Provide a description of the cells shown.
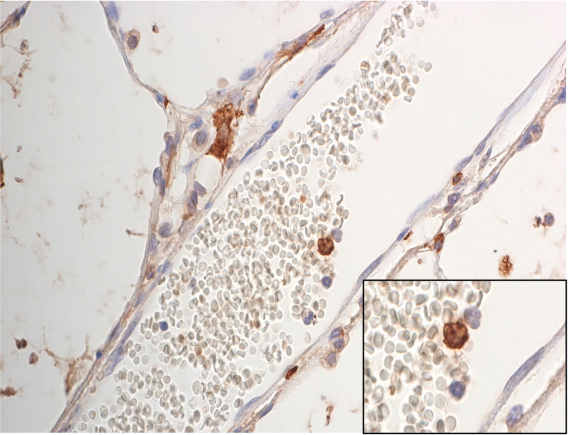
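Lung tissue with thin alveolar walls beside a large blood vessel whose lumen is densely packed with small pale red blood cells. Further brown-stained cells lie in the alveolar walls and tissue around the vessel, while the flat wall cells show blue nuclei only.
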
